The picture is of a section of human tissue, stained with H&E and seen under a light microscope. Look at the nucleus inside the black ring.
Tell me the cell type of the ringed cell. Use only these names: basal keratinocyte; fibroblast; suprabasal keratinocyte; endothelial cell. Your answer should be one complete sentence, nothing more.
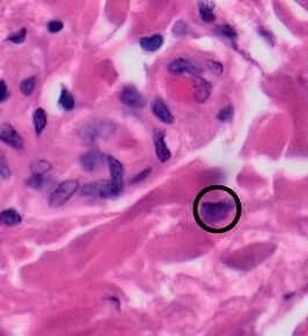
By its classification, the ringed cell is a fibroblast.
